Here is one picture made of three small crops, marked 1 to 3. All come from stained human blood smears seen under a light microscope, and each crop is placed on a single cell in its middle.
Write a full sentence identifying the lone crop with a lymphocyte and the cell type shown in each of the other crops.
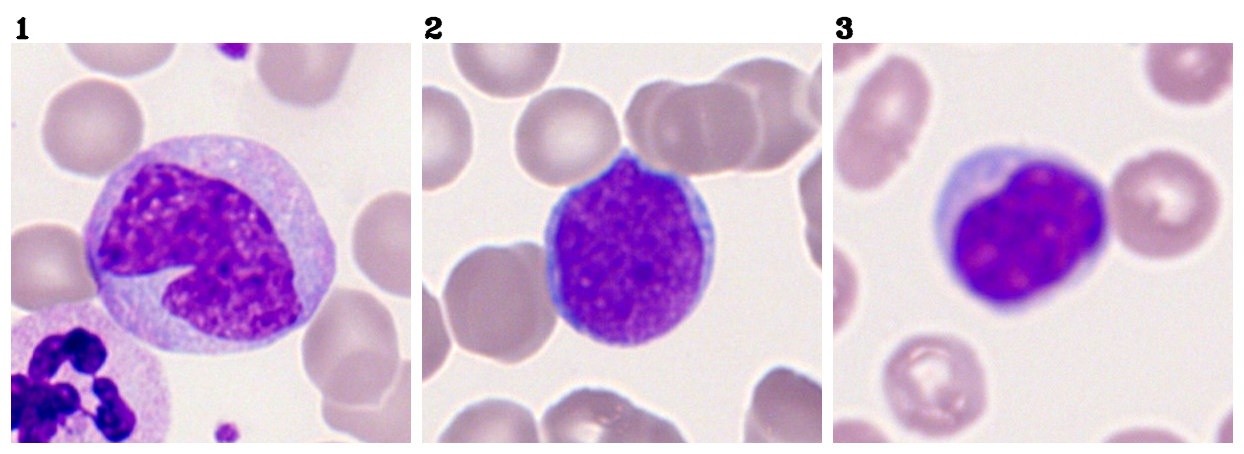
Seen in crop 3 is a lymphocyte, while crop 1 is a monocyte and crop 2 is a myeloblast.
